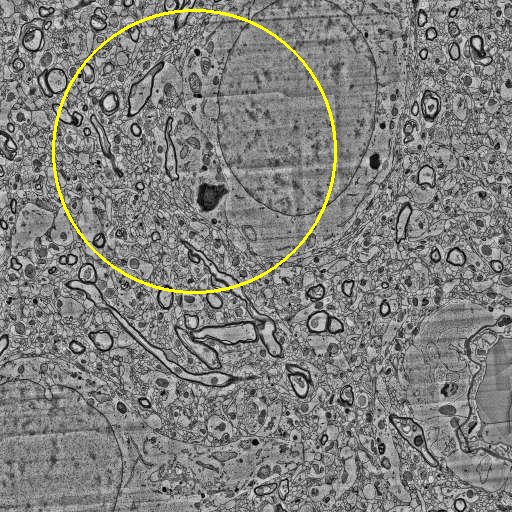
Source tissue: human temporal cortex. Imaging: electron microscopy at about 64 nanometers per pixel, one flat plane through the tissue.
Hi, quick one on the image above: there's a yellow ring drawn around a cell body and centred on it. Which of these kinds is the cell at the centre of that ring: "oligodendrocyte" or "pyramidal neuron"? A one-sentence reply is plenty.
The cell at the centre of the ring is an oligodendrocyte.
